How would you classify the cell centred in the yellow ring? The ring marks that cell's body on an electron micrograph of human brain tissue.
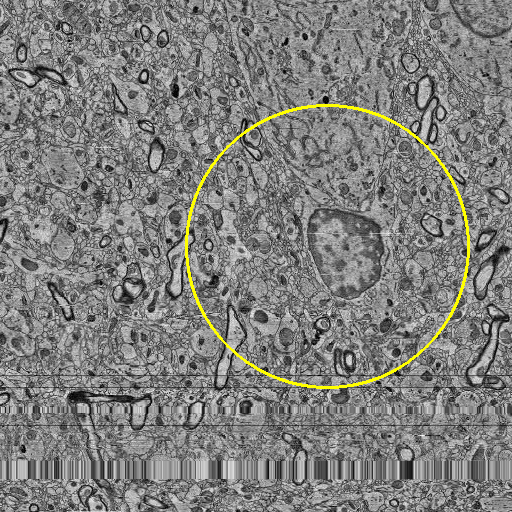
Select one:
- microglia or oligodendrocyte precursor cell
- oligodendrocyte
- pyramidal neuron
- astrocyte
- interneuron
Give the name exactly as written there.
microglia or oligodendrocyte precursor cell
